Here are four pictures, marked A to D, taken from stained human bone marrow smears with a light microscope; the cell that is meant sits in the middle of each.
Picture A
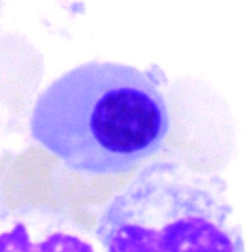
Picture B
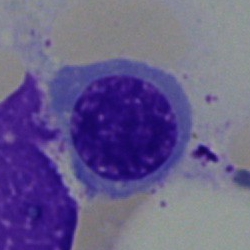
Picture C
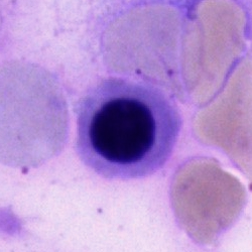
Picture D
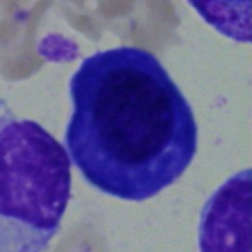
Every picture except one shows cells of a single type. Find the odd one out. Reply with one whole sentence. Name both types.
Picture D is the odd one out: it shows a plasma cell, while the others show erythroblasts.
